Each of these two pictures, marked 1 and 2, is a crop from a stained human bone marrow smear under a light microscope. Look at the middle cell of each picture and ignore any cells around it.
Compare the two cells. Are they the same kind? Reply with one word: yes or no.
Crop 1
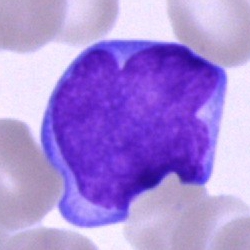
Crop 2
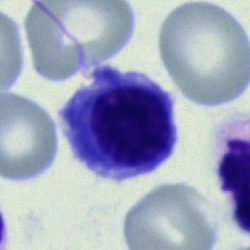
no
